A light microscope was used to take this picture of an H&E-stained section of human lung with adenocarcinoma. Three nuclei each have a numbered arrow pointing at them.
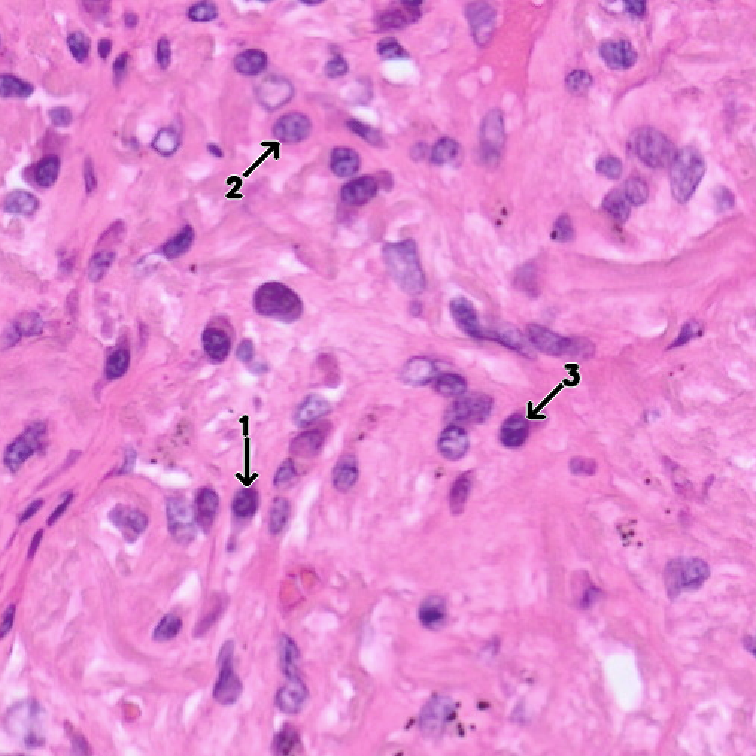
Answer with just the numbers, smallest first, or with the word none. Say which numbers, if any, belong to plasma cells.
1, 3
